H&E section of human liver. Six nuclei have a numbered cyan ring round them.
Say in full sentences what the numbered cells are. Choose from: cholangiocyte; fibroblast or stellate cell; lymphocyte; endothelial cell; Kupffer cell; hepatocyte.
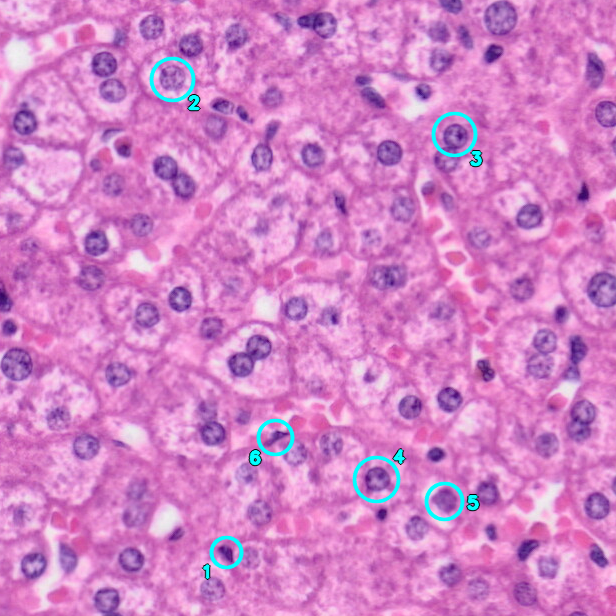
Cell 1 is a fibroblast or stellate cell, cell 2 is a hepatocyte, cell 3 is a hepatocyte, cell 4 is a hepatocyte, cell 5 is a hepatocyte and cell 6 is an endothelial cell.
